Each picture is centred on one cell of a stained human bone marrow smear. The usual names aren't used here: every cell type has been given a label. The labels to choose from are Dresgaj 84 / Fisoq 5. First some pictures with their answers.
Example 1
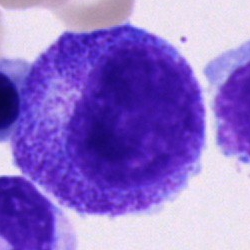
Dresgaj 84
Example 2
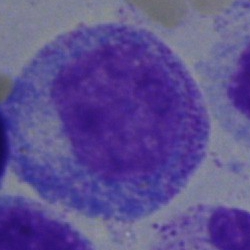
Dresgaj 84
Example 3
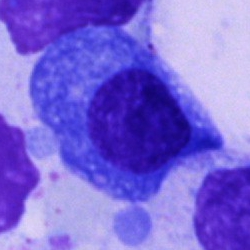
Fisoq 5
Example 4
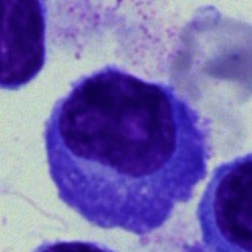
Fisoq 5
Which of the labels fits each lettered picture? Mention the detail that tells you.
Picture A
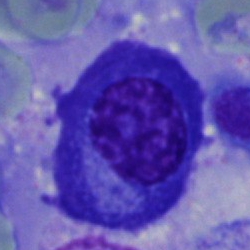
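Fisoq 5: The chromatin is coarse and clumped into dark patches separated by paler spaces.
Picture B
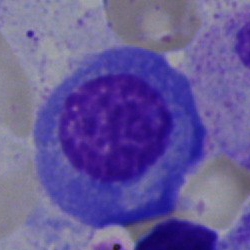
Fisoq 5: The chromatin is coarse and clumped, with pale spaces between the clumps.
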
